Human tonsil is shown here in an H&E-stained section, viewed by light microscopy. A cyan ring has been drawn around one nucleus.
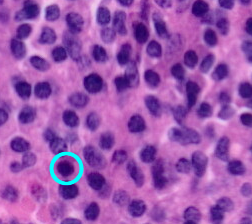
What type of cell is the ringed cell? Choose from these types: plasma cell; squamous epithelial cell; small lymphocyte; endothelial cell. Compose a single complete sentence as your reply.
Microscopically, the ringed cell is categorized as a plasma cell.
